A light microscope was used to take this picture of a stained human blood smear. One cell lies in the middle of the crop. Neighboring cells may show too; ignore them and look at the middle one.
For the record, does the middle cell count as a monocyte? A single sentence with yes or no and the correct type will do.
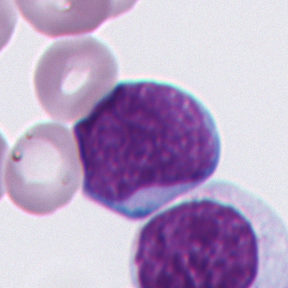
No, the centre of the crop contains a myeloblast rather than a monocyte.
